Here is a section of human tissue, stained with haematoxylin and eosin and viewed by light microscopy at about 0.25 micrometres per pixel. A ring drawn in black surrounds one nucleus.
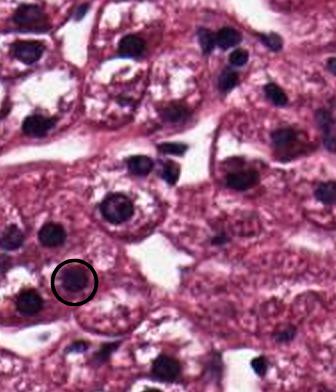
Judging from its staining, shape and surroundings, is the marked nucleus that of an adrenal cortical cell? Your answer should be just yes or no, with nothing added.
yes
